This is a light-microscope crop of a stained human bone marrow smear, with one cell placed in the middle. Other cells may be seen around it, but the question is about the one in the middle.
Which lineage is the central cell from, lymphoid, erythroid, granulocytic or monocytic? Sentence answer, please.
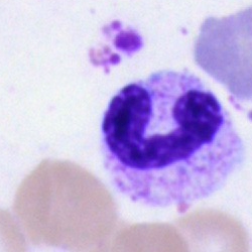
The lineage to which the central cell belongs is the granulocytic lineage.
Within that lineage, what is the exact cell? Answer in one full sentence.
The cell centred in this crop is categorized as a band neutrophil.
